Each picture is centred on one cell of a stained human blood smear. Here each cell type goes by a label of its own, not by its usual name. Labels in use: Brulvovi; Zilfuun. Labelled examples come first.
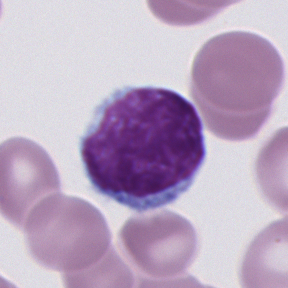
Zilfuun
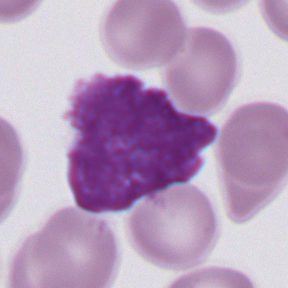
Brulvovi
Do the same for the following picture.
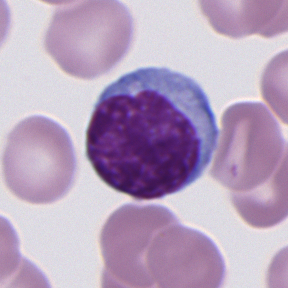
Zilfuun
